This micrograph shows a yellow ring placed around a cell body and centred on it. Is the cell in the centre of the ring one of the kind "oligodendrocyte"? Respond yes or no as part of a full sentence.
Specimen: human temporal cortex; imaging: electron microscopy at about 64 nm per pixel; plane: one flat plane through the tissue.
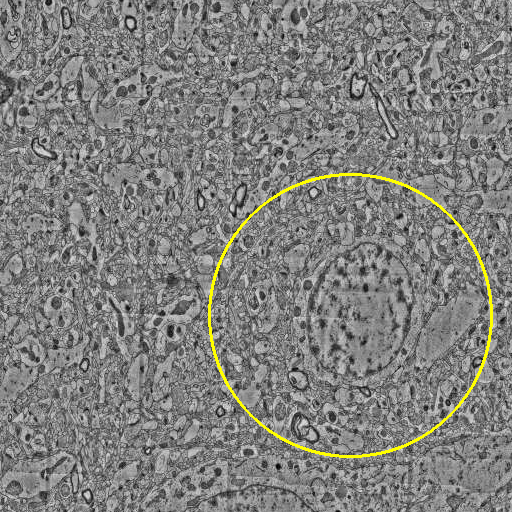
No, the cell in the centre of the ring within the picture belongs to another kind.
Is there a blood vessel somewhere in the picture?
No, no vessel appears in the picture.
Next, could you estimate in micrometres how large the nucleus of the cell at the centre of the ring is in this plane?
About 9 by 6 micrometers, in this plane.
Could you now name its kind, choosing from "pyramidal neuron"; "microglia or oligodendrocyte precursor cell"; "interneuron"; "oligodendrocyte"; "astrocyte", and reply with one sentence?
Instead, the cell at the centre of the ring is an interneuron.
